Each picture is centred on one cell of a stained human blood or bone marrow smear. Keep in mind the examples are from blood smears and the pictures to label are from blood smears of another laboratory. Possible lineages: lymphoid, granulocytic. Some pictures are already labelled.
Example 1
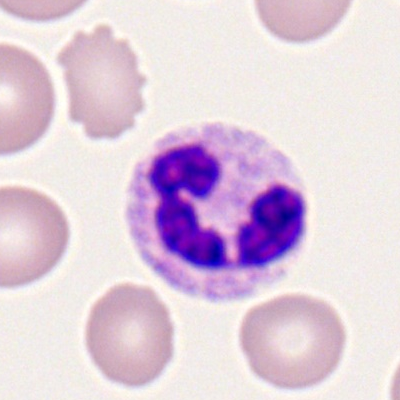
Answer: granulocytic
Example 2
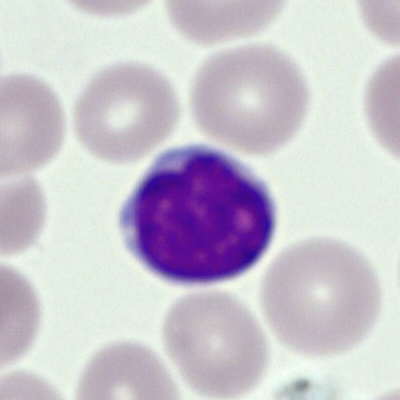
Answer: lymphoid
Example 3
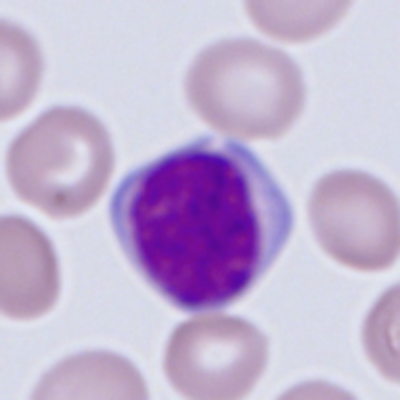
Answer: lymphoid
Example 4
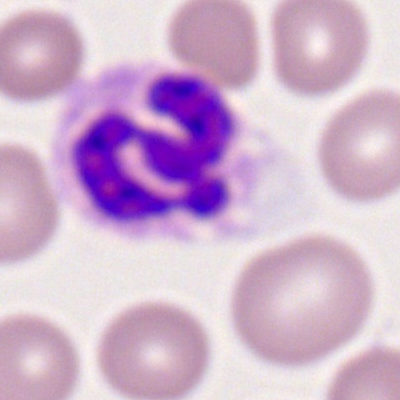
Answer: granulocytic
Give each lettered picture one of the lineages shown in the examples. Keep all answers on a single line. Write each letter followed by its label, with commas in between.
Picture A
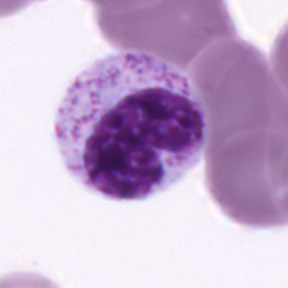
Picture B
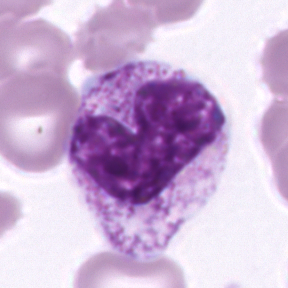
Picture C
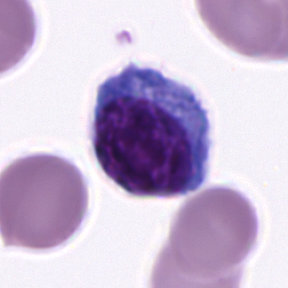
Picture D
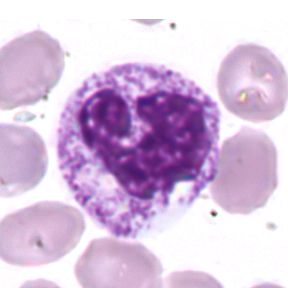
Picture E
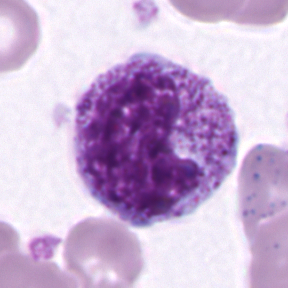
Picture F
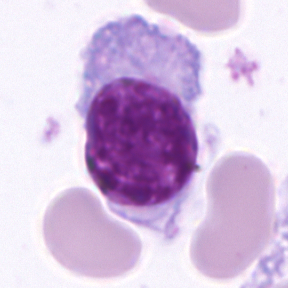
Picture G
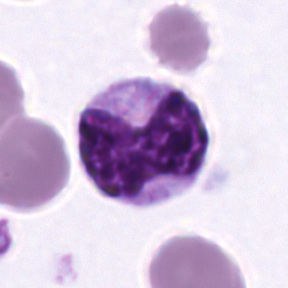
A granulocytic, B granulocytic, C lymphoid, D granulocytic, E granulocytic, F lymphoid, G granulocytic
